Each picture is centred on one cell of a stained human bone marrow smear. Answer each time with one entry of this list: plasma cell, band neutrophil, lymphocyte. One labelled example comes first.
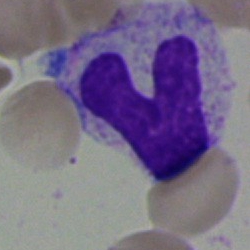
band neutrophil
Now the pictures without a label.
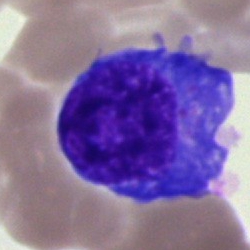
plasma cell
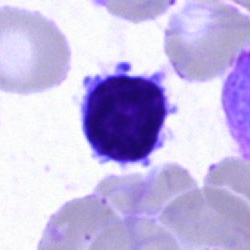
lymphocyte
